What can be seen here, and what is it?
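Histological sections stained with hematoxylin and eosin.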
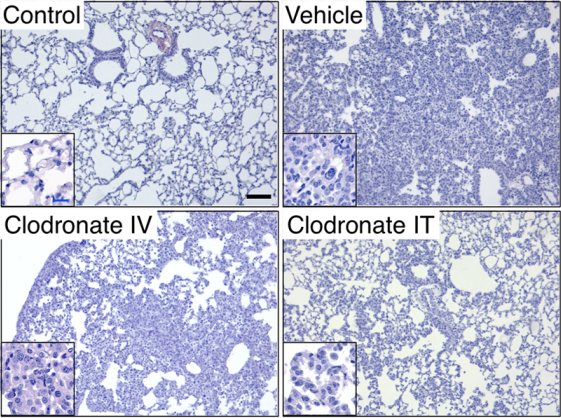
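In the upper left image the lung shows a lacy pattern of open, thin-walled alveoli with small airways lined by epithelium and an accompanying blood vessel. In the upper right image the air spaces are largely lost, replaced by densely packed cells with blue-purple nuclei forming nearly solid sheets, with only a few small open spaces left. The lower left image shows a large dense, cell-packed region beside areas of open alveoli, while the lower right image keeps mostly open alveolar architecture with only patchy thickening of the septa.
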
